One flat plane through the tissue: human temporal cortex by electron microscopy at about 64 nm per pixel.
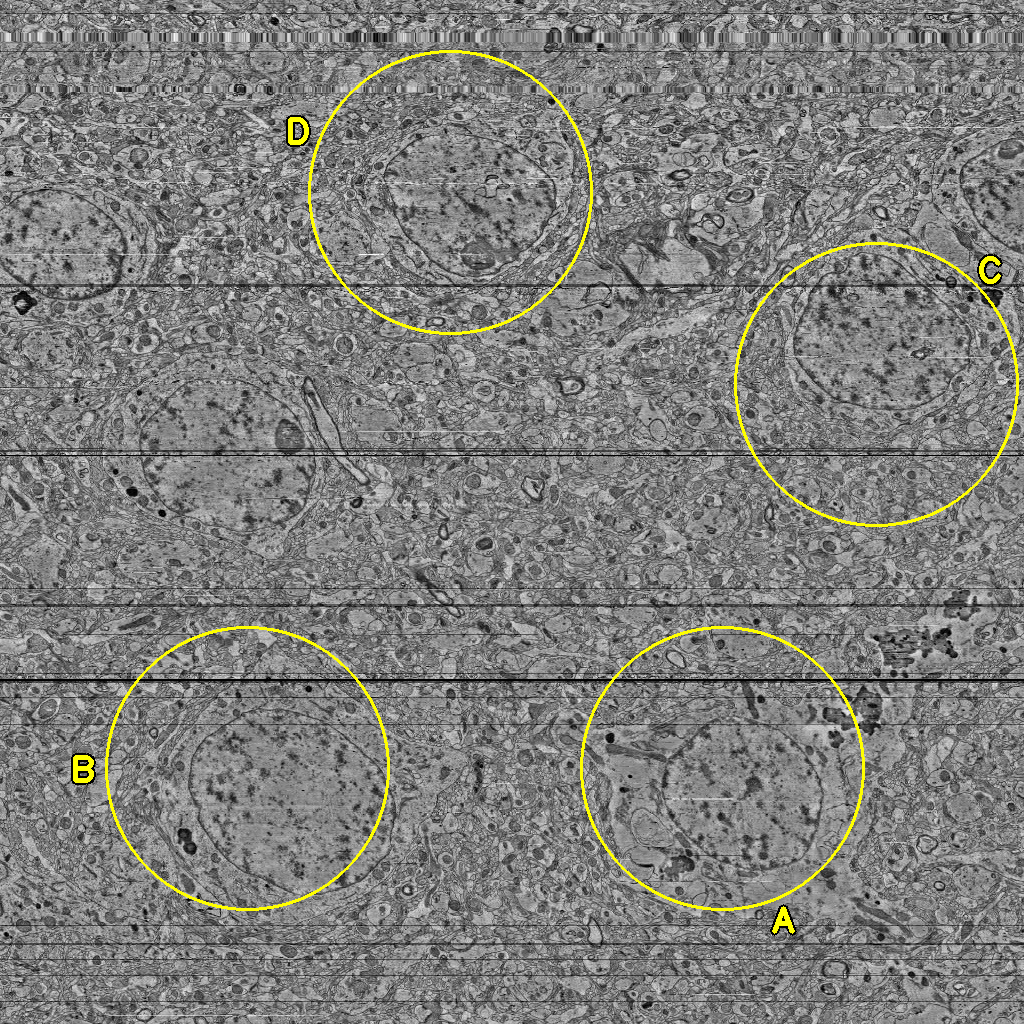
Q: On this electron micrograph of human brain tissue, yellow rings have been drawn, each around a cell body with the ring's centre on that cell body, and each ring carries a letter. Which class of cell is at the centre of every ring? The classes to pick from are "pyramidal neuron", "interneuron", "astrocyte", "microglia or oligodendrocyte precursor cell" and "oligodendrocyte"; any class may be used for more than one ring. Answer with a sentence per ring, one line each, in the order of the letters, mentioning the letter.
The centre of ring A is occupied by an astrocyte.
The centre of ring B is occupied by a pyramidal neuron.
The centre of ring C is occupied by a pyramidal neuron.
The centre of ring D is occupied by a pyramidal neuron.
